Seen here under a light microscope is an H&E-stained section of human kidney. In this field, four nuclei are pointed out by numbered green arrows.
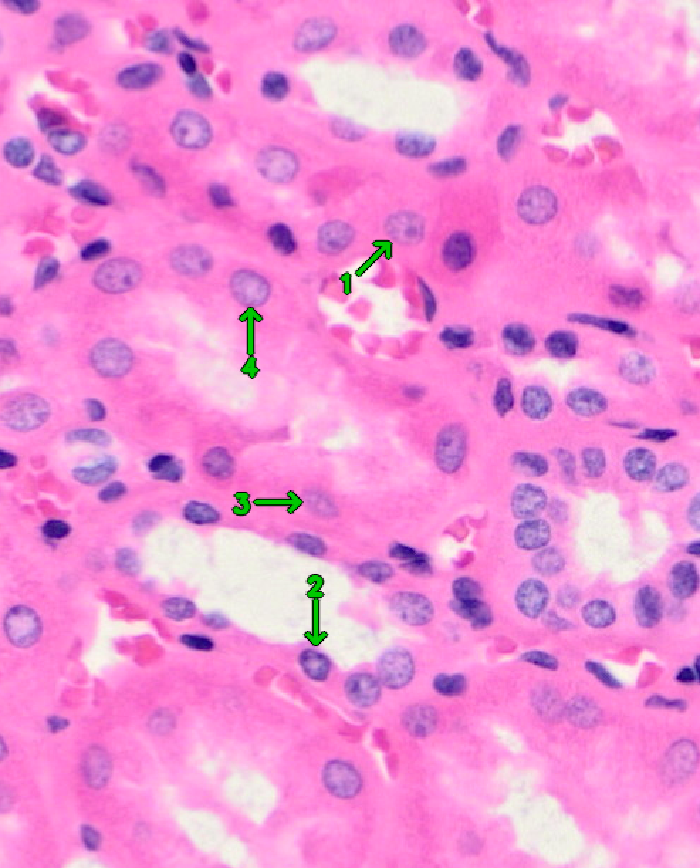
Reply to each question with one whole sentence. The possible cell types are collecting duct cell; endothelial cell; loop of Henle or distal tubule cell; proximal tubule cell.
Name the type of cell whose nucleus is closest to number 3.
The cell nearest to number 3 is a loop of Henle or distal tubule cell.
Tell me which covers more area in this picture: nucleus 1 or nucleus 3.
It is nucleus 1, which covers about 1.5 times the area of nucleus 3.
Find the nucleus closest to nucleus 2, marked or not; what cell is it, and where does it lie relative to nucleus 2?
The closest nucleus belongs to a loop of Henle or distal tubule cell and sits below and to the right of nucleus 2.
